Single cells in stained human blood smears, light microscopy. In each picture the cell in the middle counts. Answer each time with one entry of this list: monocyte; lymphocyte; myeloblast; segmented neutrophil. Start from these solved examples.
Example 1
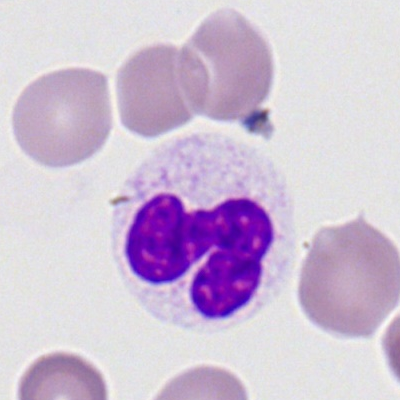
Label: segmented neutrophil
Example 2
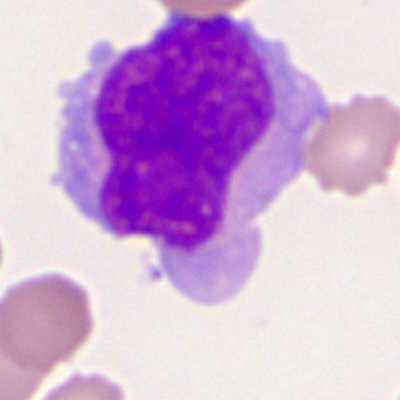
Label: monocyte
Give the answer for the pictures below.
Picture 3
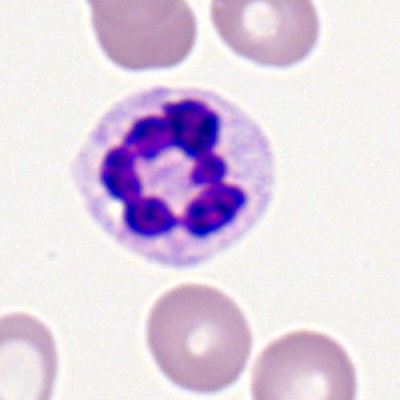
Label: segmented neutrophil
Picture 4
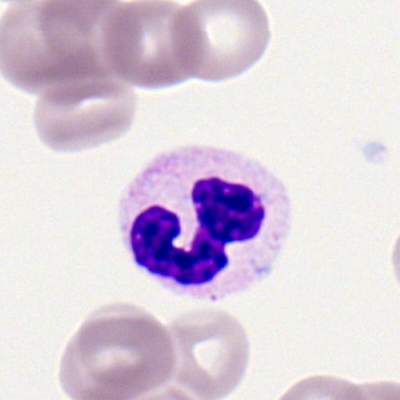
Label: segmented neutrophil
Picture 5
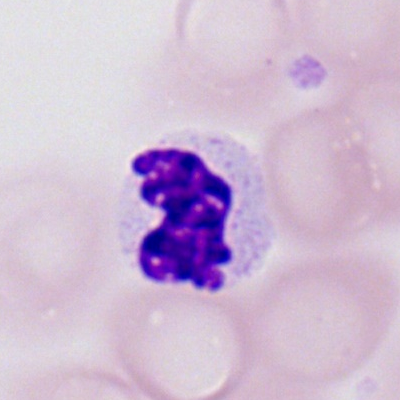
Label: segmented neutrophil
